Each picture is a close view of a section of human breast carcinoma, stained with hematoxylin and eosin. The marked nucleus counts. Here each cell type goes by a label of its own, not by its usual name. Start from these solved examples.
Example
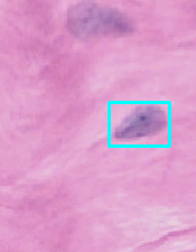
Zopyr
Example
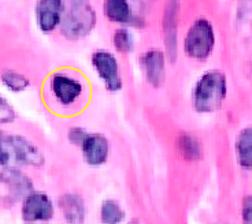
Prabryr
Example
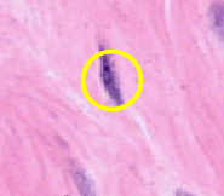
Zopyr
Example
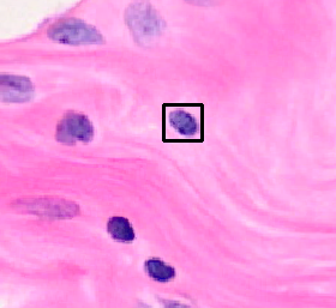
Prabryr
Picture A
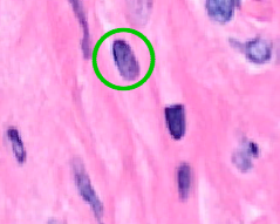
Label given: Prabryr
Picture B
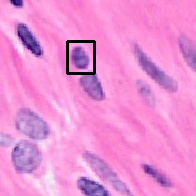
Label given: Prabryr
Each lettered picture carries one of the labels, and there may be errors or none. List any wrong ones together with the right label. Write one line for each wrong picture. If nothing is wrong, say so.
All correct.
